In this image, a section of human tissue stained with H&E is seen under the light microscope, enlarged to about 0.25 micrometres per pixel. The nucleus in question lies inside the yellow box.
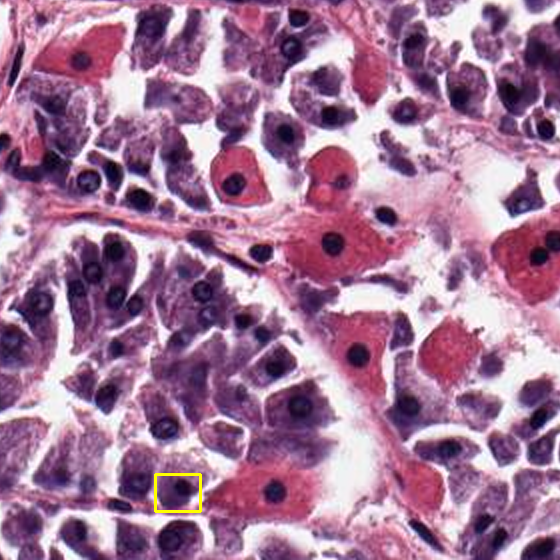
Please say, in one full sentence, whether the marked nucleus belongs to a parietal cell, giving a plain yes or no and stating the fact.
No, it is a chief cell whose nucleus is marked, not a parietal cell.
